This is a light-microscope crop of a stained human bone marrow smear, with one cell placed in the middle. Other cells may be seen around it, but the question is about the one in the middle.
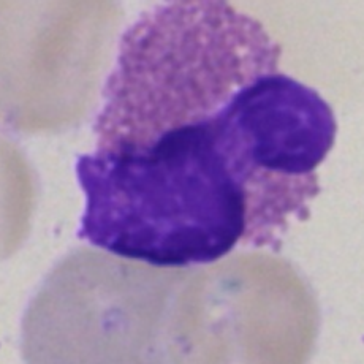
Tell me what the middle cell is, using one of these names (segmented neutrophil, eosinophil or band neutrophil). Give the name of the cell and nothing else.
eosinophil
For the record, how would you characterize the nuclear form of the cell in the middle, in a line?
Two or more lobes make up the nucleus of this cell.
